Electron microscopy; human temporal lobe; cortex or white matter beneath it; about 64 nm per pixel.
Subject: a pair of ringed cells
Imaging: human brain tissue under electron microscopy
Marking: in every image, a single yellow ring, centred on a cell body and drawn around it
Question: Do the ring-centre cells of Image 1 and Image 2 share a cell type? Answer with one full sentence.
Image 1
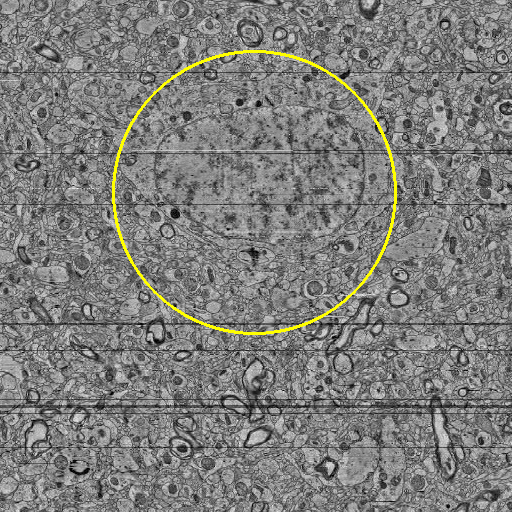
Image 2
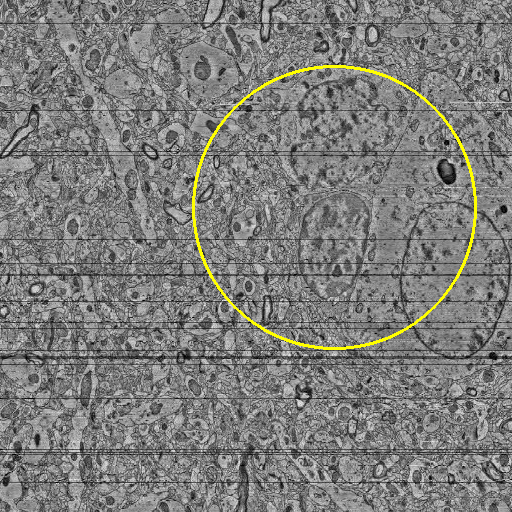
No, at the ring centres in the images sit cells of two separate types.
